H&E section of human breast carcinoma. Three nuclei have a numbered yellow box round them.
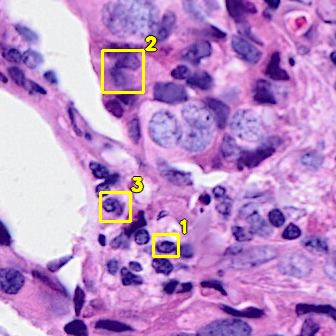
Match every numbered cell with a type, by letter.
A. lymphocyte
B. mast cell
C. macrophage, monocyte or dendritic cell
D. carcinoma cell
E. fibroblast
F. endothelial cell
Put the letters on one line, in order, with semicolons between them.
A; D; A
